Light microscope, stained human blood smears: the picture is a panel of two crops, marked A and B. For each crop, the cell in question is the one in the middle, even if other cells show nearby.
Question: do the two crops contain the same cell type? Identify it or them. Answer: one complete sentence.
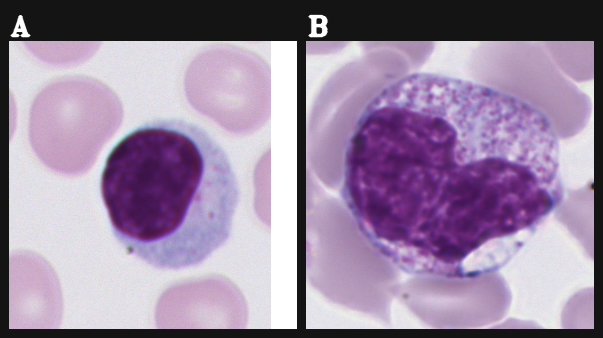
No, it is crop A that shows a large granular lymphocyte, and crop B shows a myelocyte.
